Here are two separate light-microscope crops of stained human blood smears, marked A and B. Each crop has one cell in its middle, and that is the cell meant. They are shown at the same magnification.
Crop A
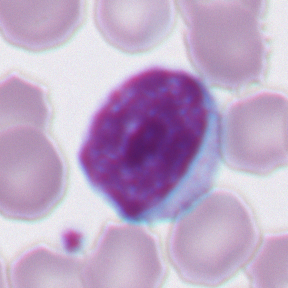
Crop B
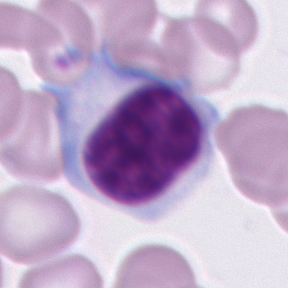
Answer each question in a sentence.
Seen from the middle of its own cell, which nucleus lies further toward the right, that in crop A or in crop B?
In crop B the nucleus is shifted more toward the right.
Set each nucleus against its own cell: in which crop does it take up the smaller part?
It is the cell in crop B that is filled less by its nucleus.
